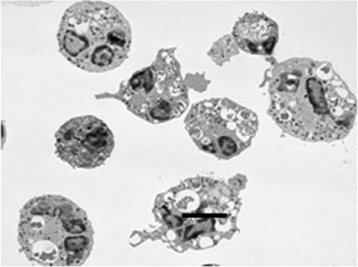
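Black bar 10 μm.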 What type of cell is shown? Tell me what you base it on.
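Neutrophils. Nuclei are electron-dense and appear as separate lobes in section. Cytoplasm holds many small granules and vacuoles. Some cells have an irregular outline with surface projections.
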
